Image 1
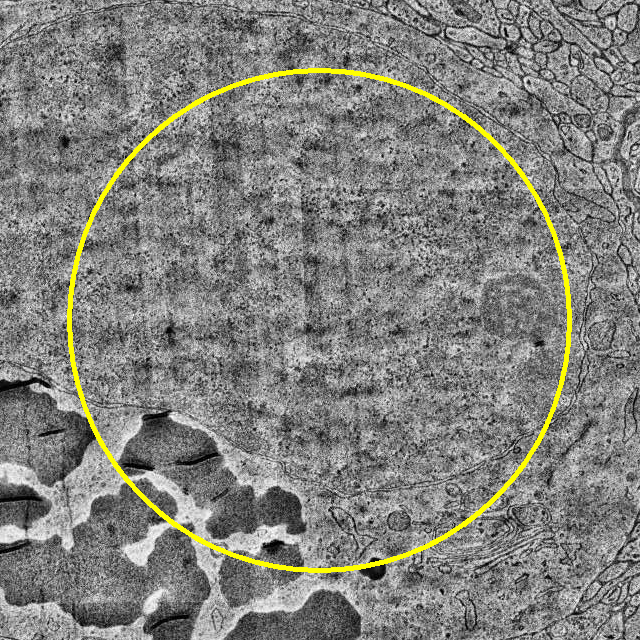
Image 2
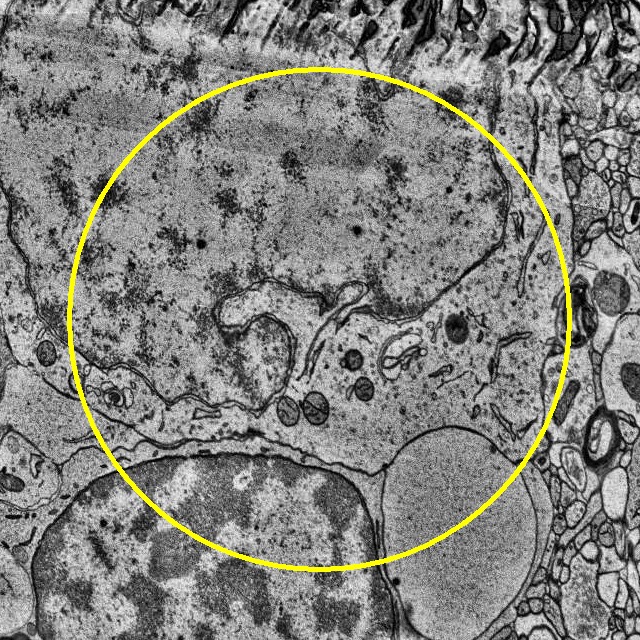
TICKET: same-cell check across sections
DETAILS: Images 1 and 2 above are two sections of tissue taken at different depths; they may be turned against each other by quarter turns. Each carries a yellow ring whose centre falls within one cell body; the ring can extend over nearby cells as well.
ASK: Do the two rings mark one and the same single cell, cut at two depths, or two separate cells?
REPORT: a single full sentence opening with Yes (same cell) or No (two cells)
No, the two rings do not mark one cell; they mark two different cells.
